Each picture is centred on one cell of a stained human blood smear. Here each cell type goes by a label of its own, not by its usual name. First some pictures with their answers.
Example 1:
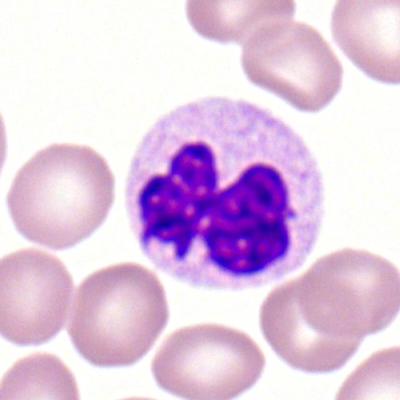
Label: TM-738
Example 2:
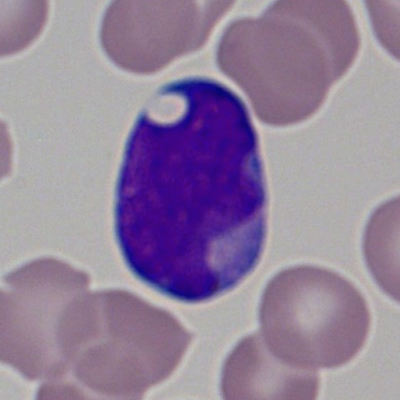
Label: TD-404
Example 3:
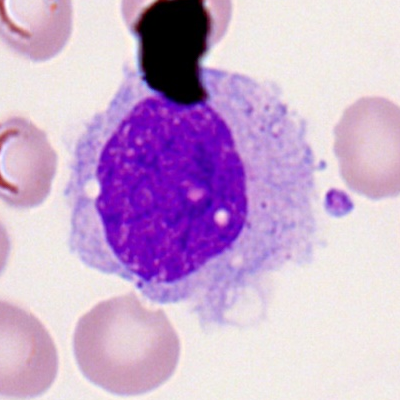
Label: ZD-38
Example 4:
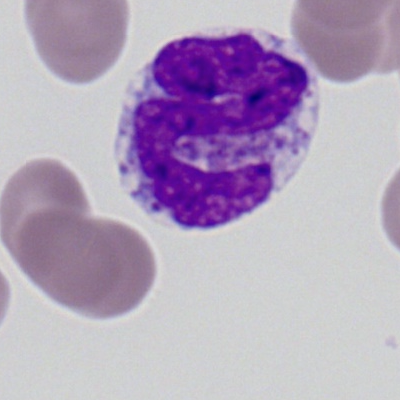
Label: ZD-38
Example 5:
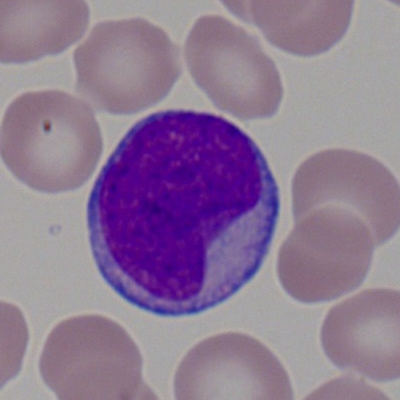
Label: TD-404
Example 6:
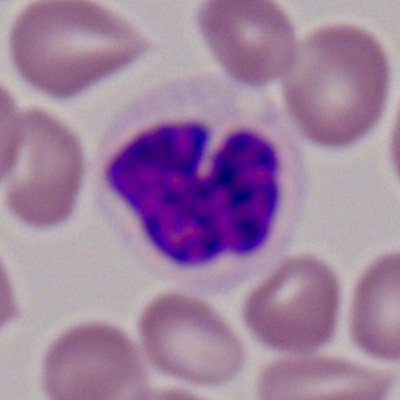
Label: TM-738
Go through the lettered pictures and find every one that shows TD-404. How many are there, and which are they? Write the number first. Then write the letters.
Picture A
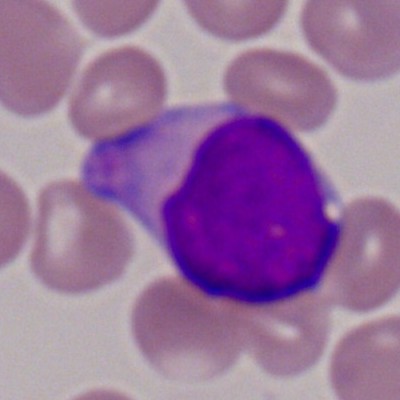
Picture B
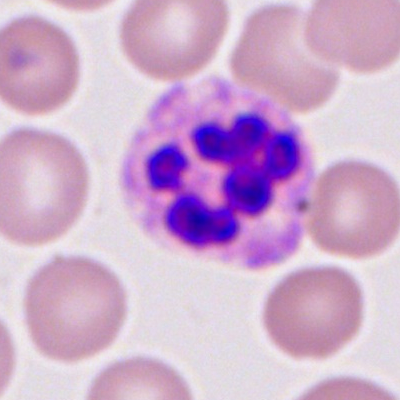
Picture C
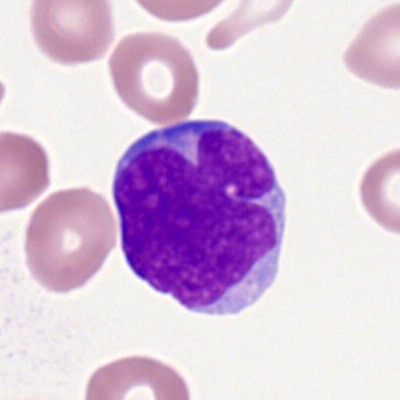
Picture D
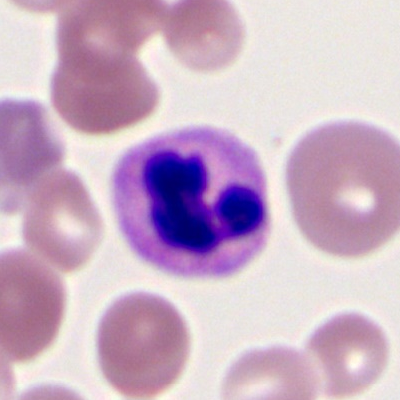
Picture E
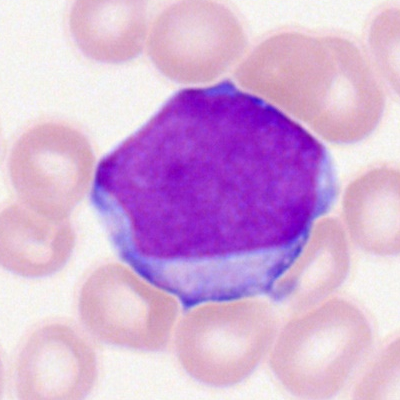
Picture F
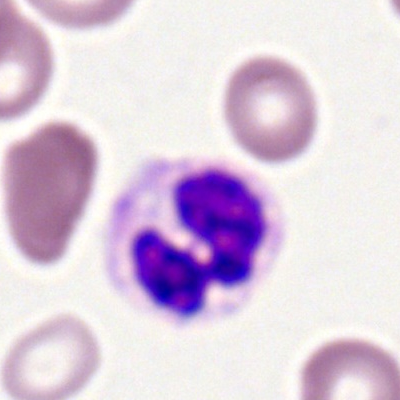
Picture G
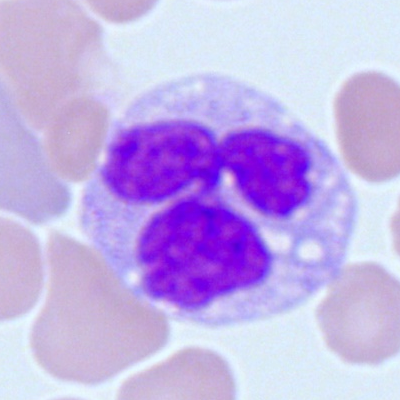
3, namely A, C, E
